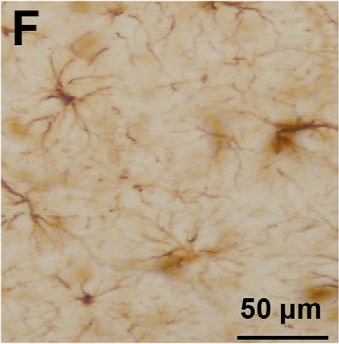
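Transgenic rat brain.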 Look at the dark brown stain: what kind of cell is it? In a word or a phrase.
Astrocytes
